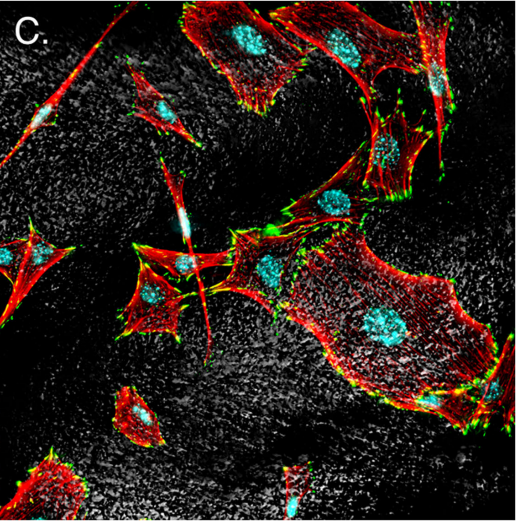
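These cells show a range of morphologies from spindle-shaped cells to cuboidal and stellate-shaped cells, spread over a speckled, uneven gray surface. Many cells are broad and polygonal, while others send pointed projections out in several directions, giving star-like outlines; a few are narrow and spindle-shaped. Bright green dots gather at the cell margins and at the tips of the projections.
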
